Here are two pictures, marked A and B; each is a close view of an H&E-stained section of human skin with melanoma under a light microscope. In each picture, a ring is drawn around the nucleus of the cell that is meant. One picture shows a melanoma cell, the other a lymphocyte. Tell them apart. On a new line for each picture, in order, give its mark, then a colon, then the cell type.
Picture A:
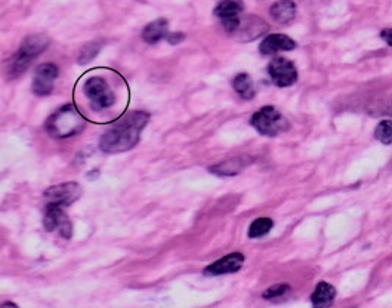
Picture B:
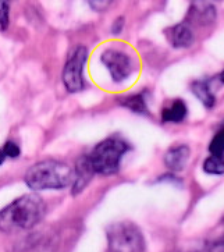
A: lymphocyte
B: melanoma cell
